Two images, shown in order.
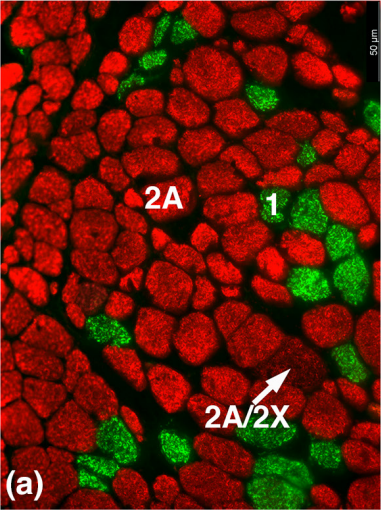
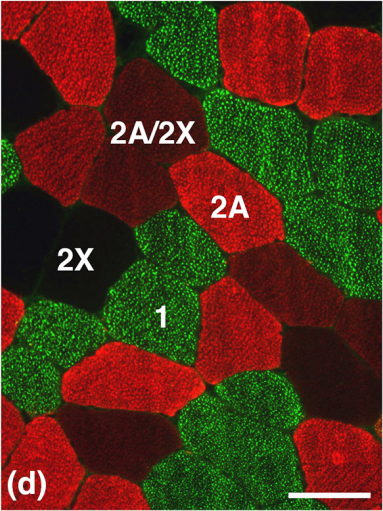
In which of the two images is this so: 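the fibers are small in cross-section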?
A: the first image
